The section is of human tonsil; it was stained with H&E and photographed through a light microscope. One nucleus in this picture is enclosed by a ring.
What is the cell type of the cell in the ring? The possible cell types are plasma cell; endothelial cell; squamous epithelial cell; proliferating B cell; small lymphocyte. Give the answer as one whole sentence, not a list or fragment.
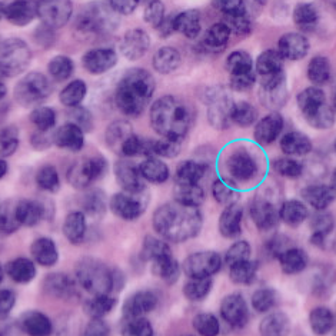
As to its cell type, the cell in the ring is a proliferating B cell.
